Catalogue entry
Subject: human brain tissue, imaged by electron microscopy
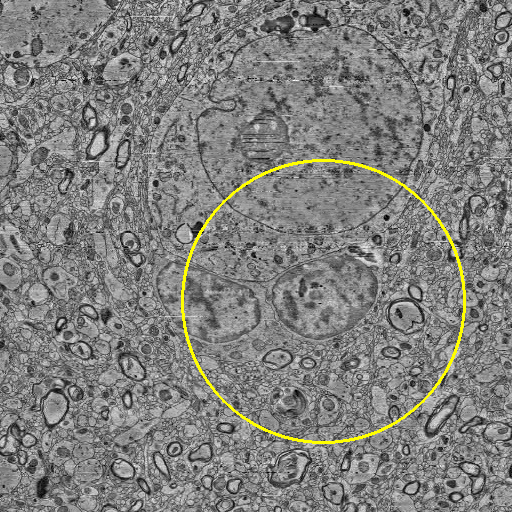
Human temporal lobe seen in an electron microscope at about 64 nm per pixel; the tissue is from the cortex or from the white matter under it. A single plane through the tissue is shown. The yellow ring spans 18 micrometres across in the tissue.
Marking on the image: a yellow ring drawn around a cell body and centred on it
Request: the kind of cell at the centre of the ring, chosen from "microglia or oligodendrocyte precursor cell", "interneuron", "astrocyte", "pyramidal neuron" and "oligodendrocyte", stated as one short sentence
The ring has an oligodendrocyte at its centre.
